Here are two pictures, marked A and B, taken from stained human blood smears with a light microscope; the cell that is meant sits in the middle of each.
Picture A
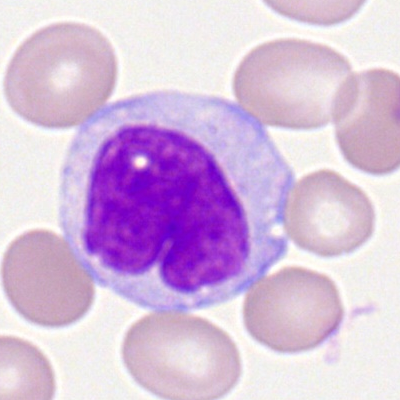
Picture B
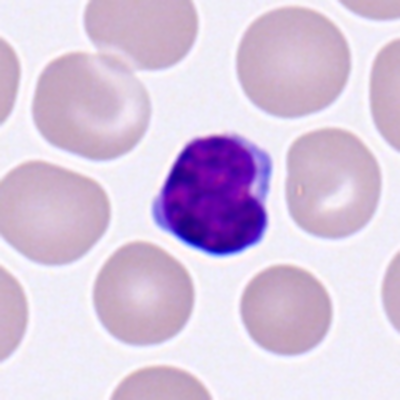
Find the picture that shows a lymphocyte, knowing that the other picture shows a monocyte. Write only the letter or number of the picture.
B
